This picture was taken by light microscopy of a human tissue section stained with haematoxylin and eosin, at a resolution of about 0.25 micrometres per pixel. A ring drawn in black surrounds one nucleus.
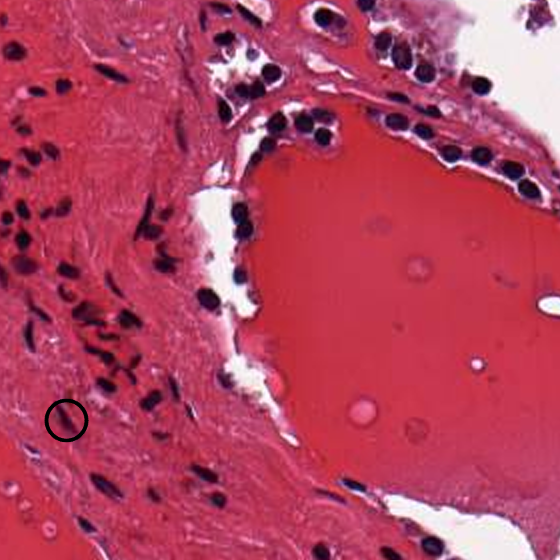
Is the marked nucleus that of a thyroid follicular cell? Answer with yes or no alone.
no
